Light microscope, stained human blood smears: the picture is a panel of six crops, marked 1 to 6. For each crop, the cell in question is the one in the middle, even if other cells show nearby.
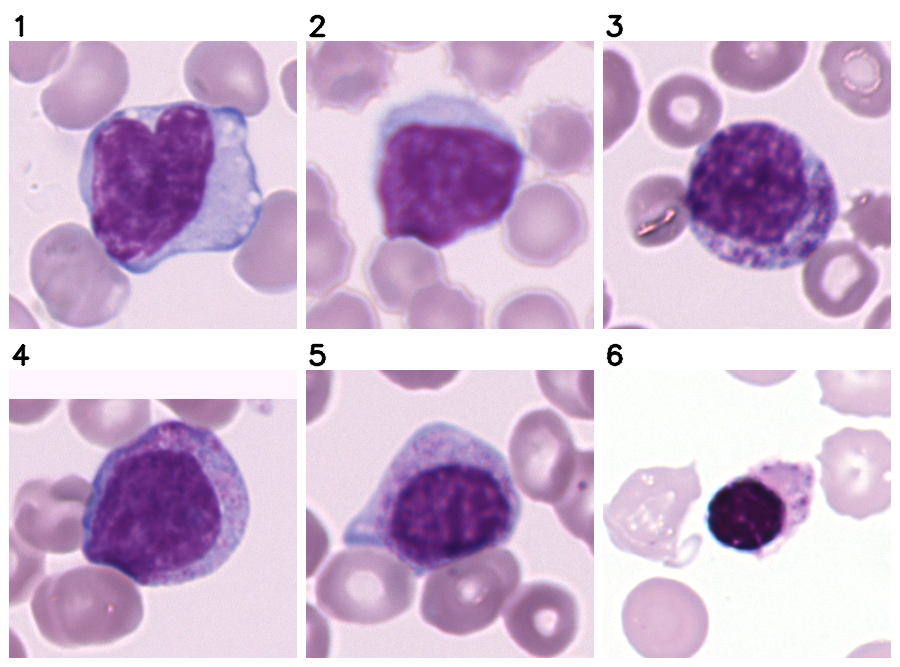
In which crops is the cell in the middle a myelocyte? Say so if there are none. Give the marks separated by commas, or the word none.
3, 5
